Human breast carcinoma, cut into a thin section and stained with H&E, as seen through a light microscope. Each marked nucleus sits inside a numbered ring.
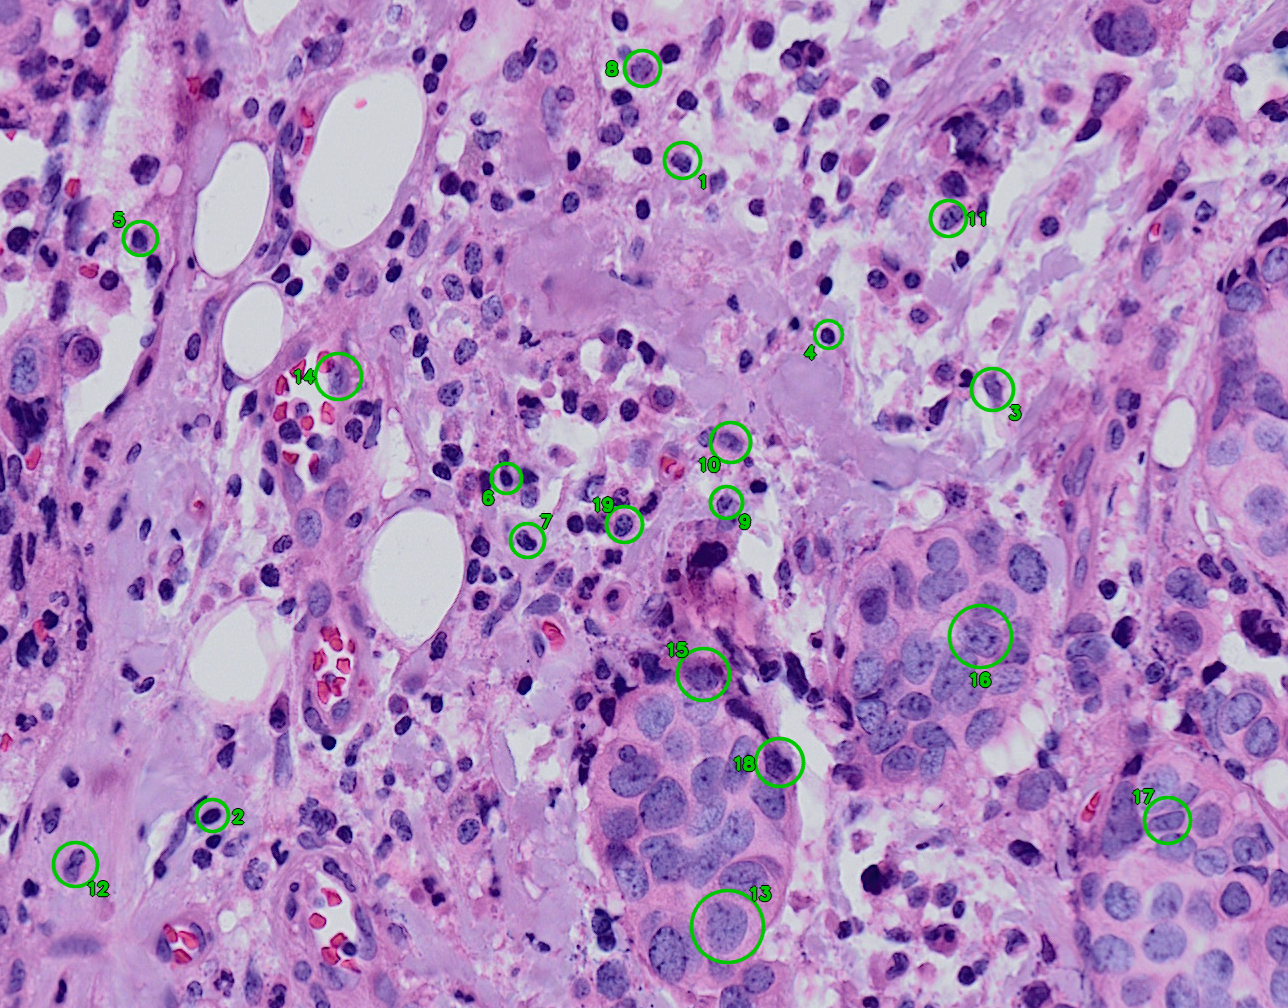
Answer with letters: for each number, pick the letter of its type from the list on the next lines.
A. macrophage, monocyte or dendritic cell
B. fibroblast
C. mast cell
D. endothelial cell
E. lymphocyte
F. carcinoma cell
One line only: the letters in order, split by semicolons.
E; E; B; E; E; E; E; A; A; C; C; C; F; D; F; F; F; F; C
